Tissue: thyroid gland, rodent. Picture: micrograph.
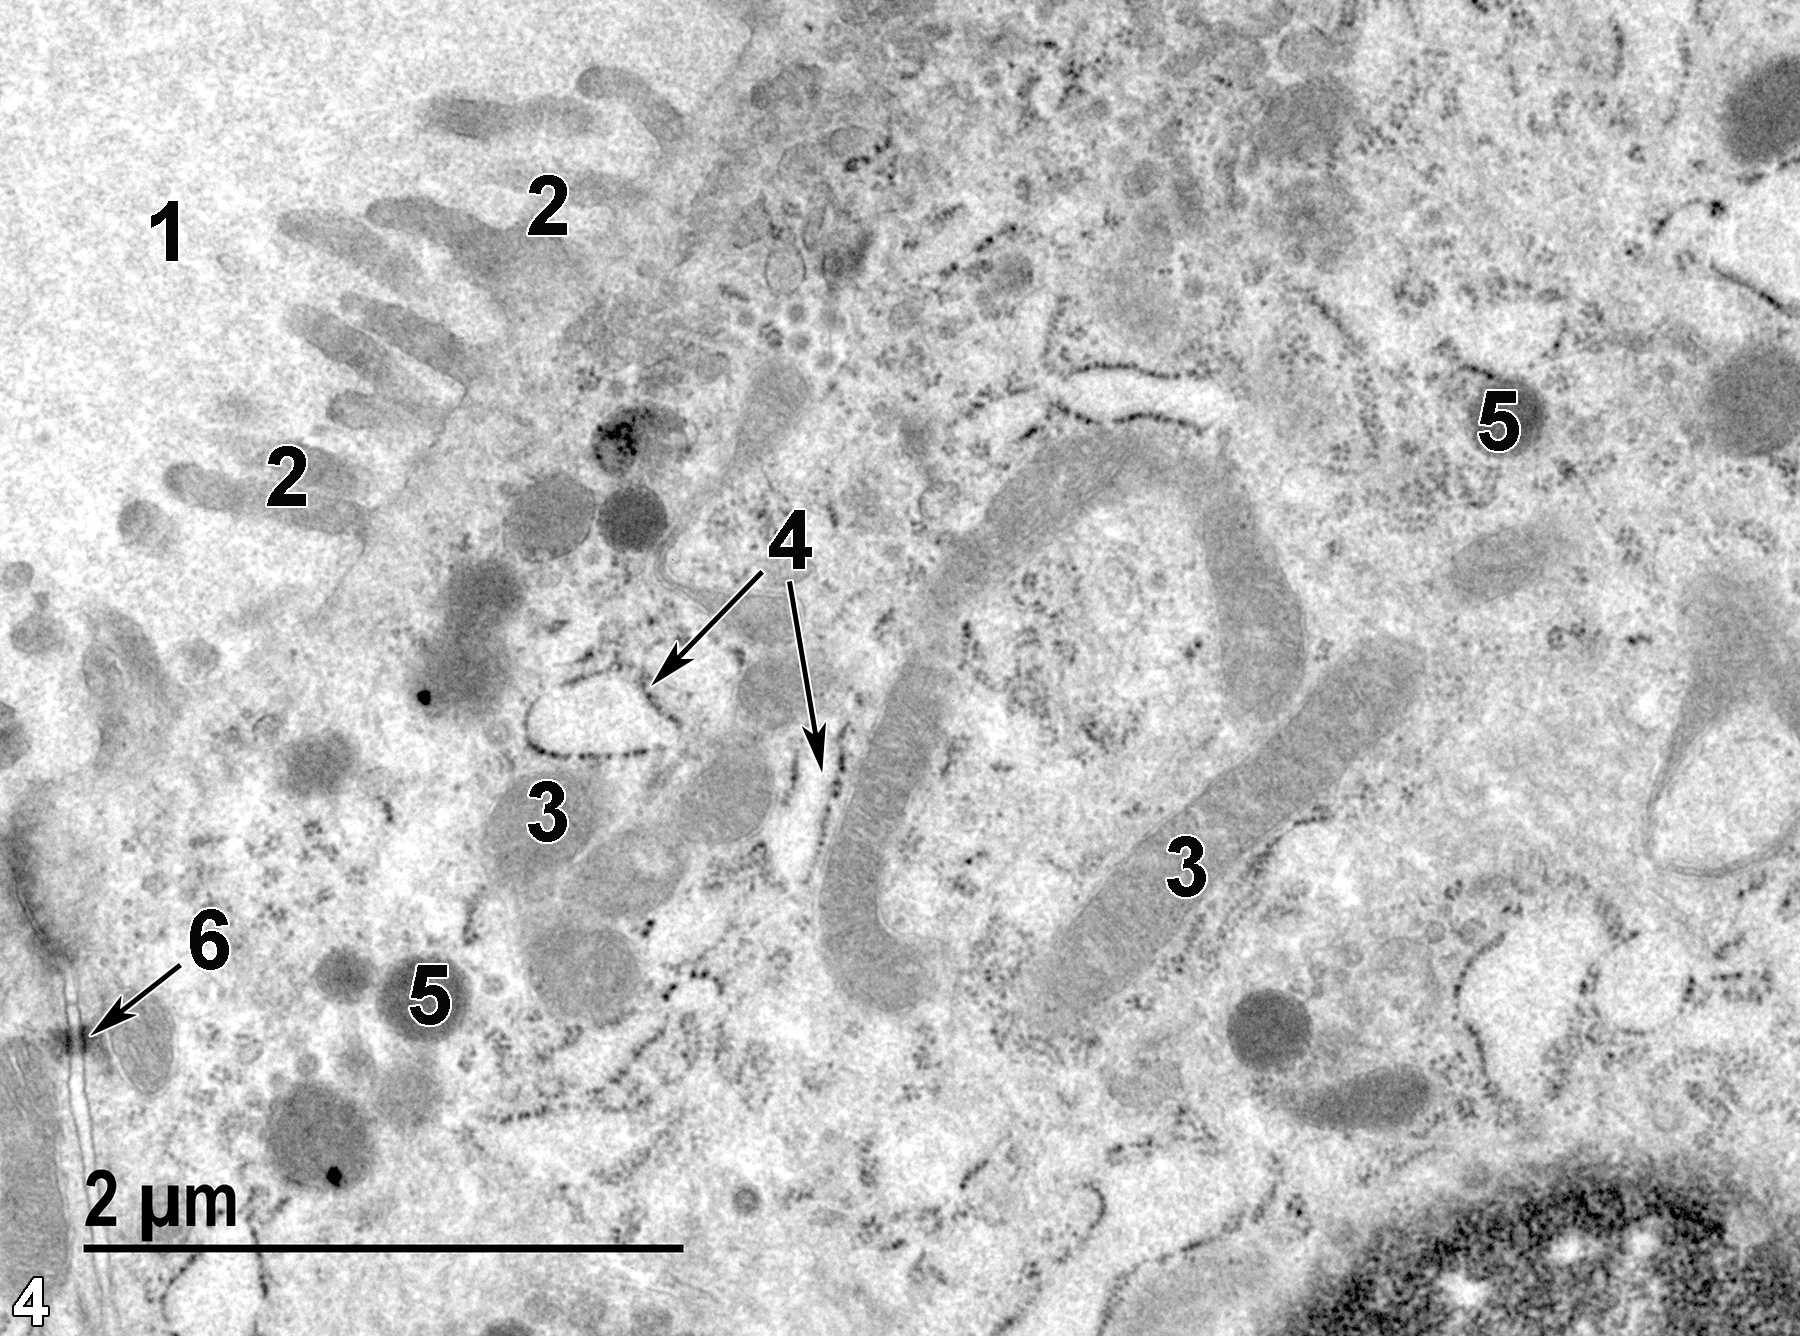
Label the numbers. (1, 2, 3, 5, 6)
1 - follicular lumen
2 - microvilli
3 - elongated mitochondria
5 - lysosomes
6 - desmosome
